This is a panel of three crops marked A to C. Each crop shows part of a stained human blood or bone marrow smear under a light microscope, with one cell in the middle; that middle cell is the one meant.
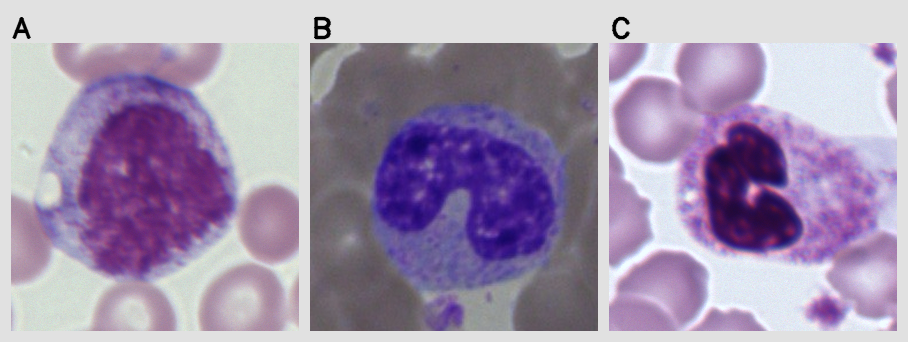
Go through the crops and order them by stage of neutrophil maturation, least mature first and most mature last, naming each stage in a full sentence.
The order of maturity, lowest to highest, is crop A (a promyelocyte), crop B (a band neutrophil) and crop C (a segmented neutrophil).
